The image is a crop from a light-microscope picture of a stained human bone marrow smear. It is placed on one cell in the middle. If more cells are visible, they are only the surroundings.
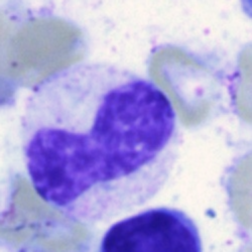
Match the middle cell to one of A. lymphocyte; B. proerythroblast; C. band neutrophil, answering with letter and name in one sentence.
That cell in the center is a band neutrophil, hence option C.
